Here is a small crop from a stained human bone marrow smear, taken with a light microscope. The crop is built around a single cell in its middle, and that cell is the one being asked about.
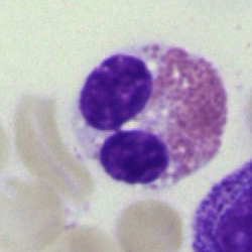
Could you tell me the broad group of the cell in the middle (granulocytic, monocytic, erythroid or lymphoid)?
granulocytic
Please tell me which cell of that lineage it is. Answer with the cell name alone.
eosinophil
